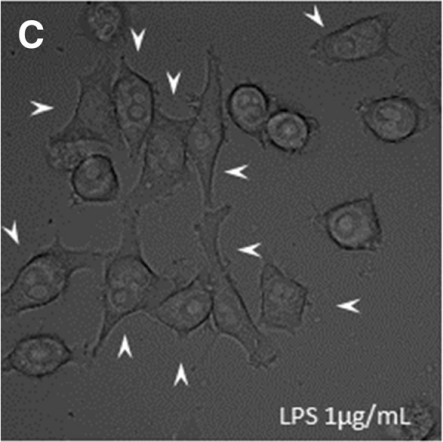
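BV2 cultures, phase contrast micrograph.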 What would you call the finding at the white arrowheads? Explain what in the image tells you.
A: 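Many cells are flattened and spread, with angular outlines. Thin cytoplasmic extensions reach out from the flattened cells. A few round cells remain among the spread ones. The answer: lost their resting round shape.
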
